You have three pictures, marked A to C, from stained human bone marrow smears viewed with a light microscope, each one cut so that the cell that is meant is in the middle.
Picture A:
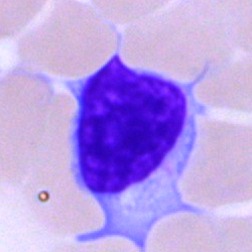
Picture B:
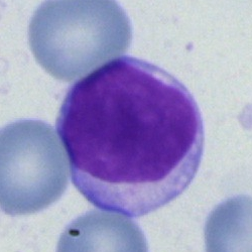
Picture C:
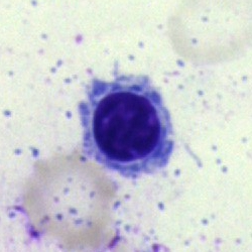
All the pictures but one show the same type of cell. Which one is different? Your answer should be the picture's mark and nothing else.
C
